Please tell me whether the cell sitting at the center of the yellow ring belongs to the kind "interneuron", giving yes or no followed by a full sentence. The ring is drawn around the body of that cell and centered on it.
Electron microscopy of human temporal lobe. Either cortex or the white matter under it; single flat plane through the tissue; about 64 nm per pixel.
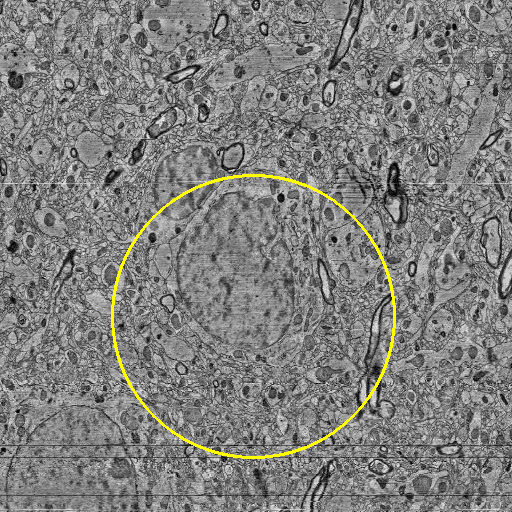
Yes, the cell at the center of the ring in the picture is of that kind.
